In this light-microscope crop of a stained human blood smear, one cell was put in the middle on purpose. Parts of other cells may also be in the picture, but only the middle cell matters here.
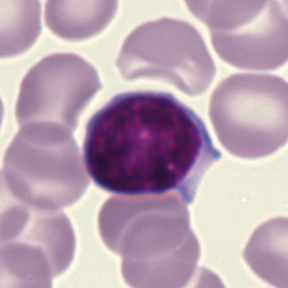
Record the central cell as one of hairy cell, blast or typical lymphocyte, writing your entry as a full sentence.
The central cell, amid any neighbouring cells, is a typical lymphocyte.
